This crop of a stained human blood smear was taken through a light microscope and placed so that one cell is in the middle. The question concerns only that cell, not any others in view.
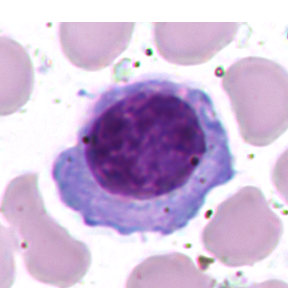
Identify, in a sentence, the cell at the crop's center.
This crop has a plasma cell at its centre.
